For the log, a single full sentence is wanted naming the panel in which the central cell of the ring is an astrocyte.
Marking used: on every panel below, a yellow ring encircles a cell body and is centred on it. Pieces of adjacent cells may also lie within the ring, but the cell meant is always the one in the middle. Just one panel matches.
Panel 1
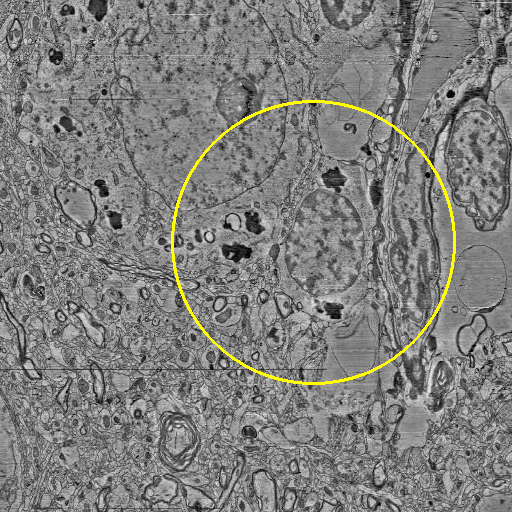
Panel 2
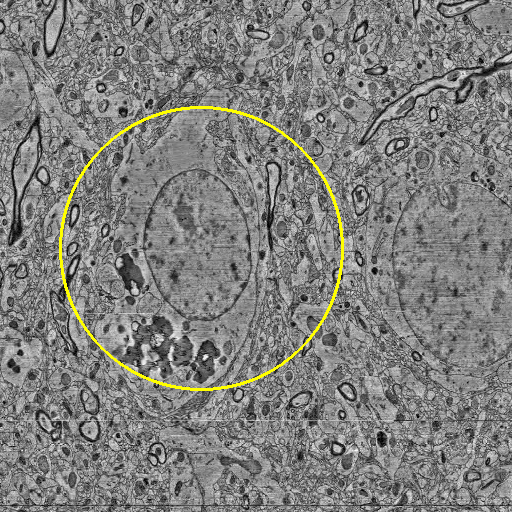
The cell in the middle of the ring in panel 2 is the one asked for.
